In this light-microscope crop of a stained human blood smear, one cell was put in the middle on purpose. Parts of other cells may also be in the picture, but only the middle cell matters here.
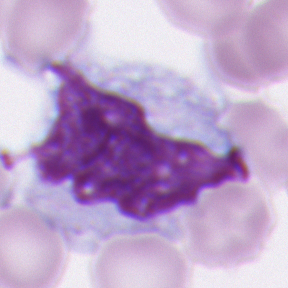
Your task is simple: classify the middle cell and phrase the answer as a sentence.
The centrally located cell in the crop is a monocyte.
